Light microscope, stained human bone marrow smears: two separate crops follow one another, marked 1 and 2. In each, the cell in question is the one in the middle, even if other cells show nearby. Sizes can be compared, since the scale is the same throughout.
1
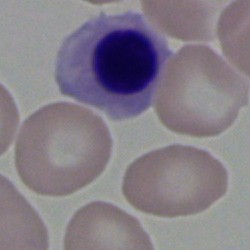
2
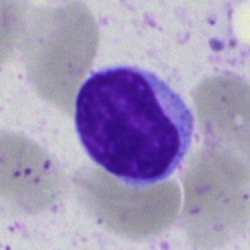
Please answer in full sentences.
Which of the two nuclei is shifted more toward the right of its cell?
The nucleus in picture 1 lies further toward the right of its cell.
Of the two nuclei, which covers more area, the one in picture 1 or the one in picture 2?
Larger is the nucleus in picture 2, at roughly 2.5 times the area of the other.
